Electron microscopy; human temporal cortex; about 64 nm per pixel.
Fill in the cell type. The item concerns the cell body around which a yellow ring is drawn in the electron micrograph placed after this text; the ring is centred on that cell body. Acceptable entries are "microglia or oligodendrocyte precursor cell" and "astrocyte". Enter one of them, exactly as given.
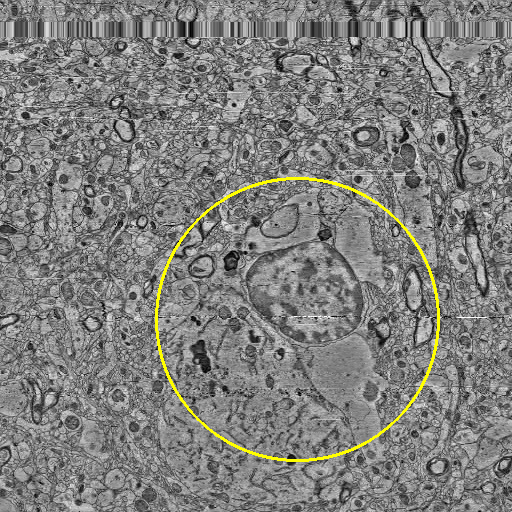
microglia or oligodendrocyte precursor cell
